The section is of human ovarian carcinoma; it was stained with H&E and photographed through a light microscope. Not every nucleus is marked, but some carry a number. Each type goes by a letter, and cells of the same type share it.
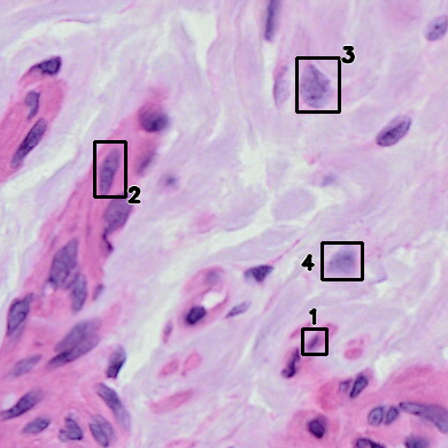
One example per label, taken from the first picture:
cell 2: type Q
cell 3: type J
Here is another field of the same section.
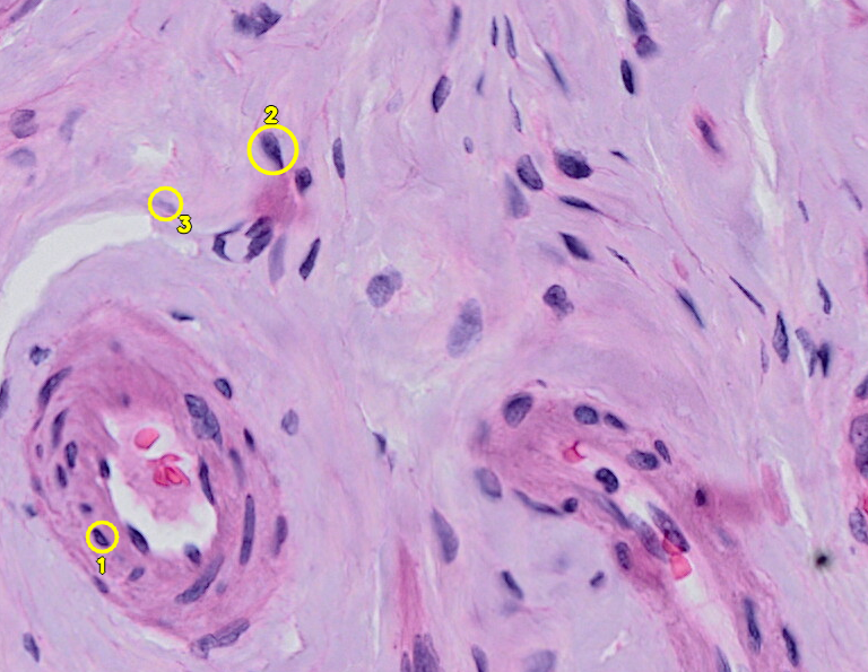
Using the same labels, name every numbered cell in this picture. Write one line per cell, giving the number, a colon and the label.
1: type Q
2: type J
3: type J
